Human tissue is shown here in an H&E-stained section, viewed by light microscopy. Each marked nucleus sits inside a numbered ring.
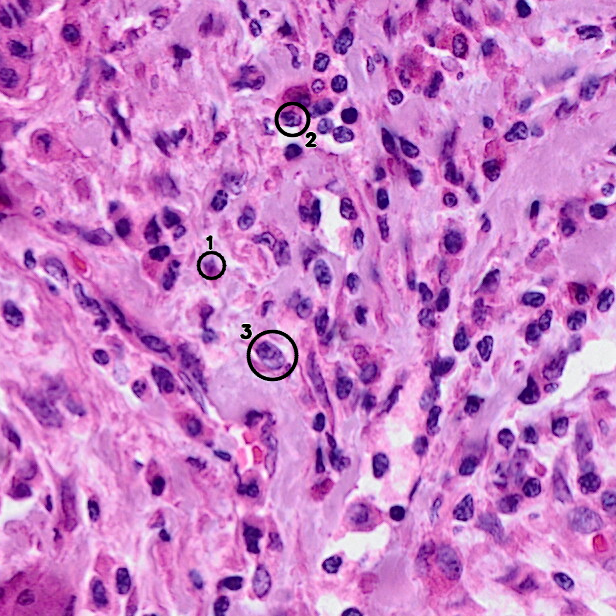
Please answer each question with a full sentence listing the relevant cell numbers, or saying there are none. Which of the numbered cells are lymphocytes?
Only the cell numbered 2 qualifies as a lymphocyte among the marked cells.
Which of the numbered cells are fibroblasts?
Of all the numbered cells, only one is a fibroblast, and that is cell 1.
